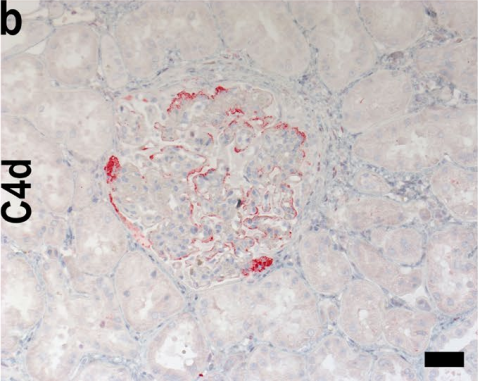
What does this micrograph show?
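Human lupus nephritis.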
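This is kidney cortex with one glomerulus in the middle, surrounded by cross-sections of tubules lined by cuboidal epithelial cells. Inside the glomerulus, the red stain follows the thin capillary loops as fine lines, with some denser red clumps at the outer edge of the tuft. The tubules around it are essentially unstained, taking only the faint pinkish-grey background and blue nuclei.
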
